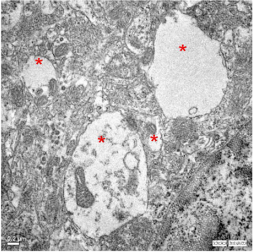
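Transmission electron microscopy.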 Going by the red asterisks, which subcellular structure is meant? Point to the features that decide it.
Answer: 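Some vacuoles contain membranous fragments and small organelles.
Hence: autophagosomes.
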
